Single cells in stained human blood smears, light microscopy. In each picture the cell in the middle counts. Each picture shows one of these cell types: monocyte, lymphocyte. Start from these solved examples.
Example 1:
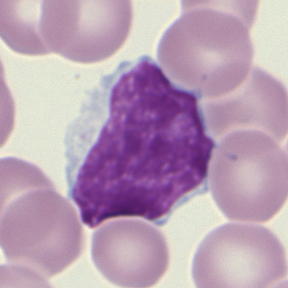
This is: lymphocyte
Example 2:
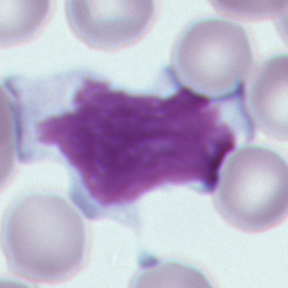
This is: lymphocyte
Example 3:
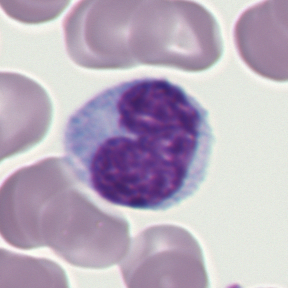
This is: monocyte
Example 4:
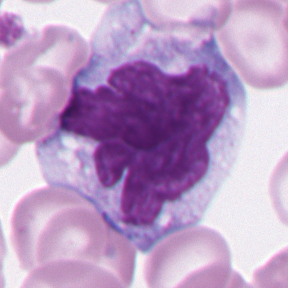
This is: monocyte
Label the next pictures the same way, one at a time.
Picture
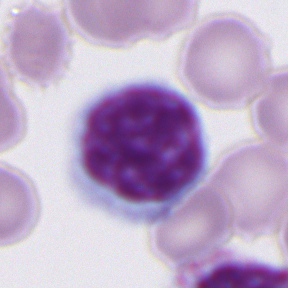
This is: lymphocyte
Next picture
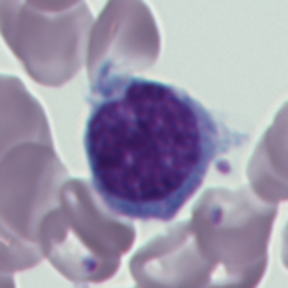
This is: monocyte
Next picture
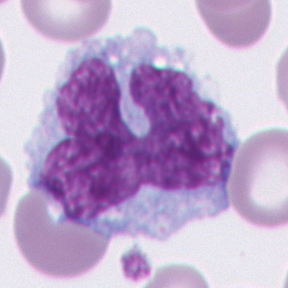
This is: monocyte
